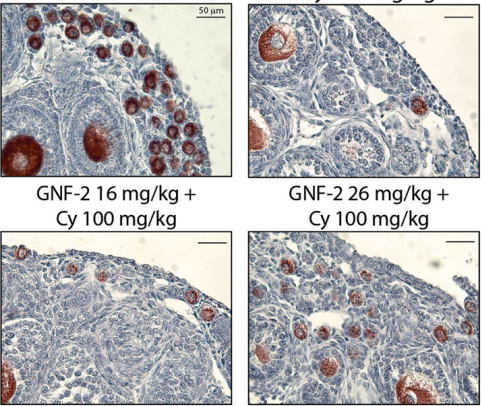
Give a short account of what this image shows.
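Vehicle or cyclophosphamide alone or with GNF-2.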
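Ovarian cortex, with oocytes stained brown and the surrounding cell nuclei counterstained blue. In one view many small oocytes, each ringed by a thin layer of flattened cells, crowd just beneath the ovarian surface. In the other views far fewer small oocytes lie beneath the surface, while larger follicles with several layers of surrounding cells and a larger oocyte remain deeper in the tissue.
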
